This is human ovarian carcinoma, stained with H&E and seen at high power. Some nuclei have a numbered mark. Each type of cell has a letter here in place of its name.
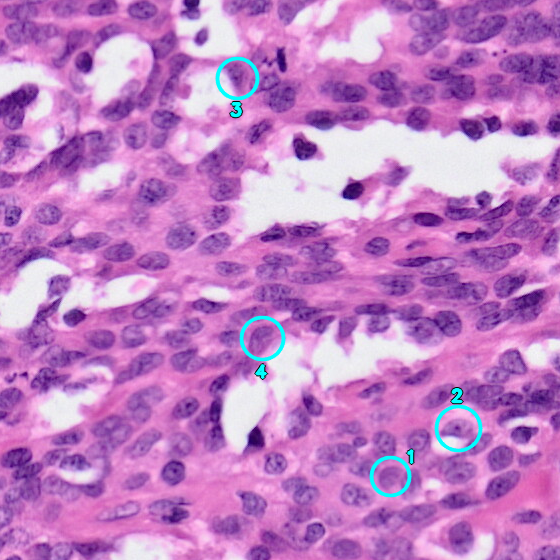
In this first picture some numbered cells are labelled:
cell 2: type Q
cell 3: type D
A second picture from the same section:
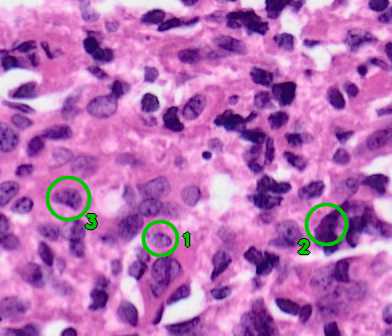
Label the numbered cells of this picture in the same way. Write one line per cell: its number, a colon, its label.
1: type Q
2: type D
3: type Q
